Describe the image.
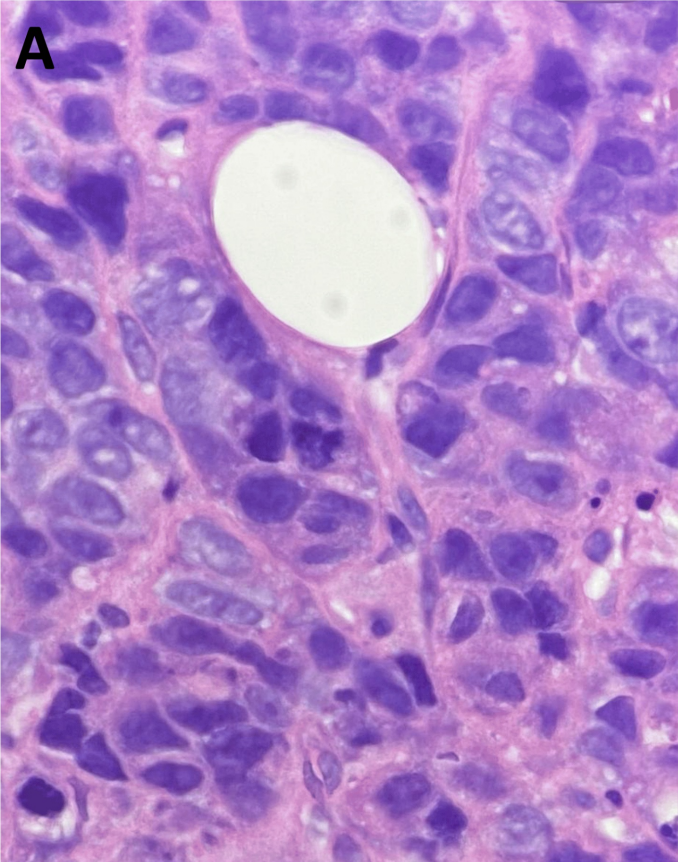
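This is a high-power view of carcinoma. Crowded tumor cells lie in solid sheets, subdivided by thin pink strands. Their nuclei are large, oval to irregular and vary widely in size. Some are vesicular with visible nucleoli, while others are dark and hyperchromatic. A sharply outlined, round clear space sits in the upper middle of the field. No normal glandular architecture remains.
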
